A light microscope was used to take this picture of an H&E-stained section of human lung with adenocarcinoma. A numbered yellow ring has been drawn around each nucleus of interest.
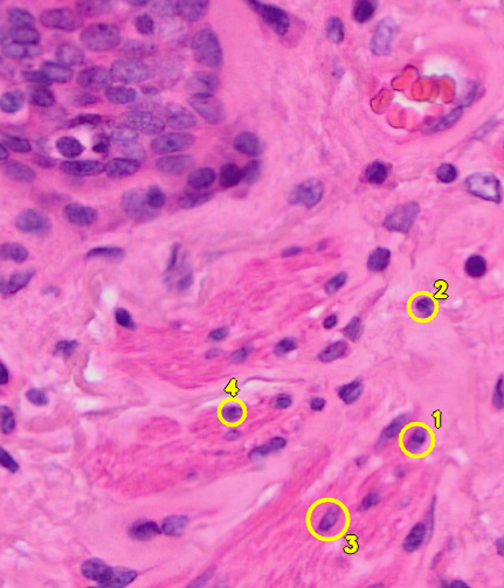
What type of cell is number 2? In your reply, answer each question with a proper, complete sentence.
The mark numbered 2 indicates the nucleus of a mast cell.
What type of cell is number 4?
Marked with the number 4, this cell is a smooth muscle cell or pericyte.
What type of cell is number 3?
Here the cell numbered 3 is a smooth muscle cell or pericyte.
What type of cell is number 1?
The cell that bears the number 1 is a smooth muscle cell or pericyte.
